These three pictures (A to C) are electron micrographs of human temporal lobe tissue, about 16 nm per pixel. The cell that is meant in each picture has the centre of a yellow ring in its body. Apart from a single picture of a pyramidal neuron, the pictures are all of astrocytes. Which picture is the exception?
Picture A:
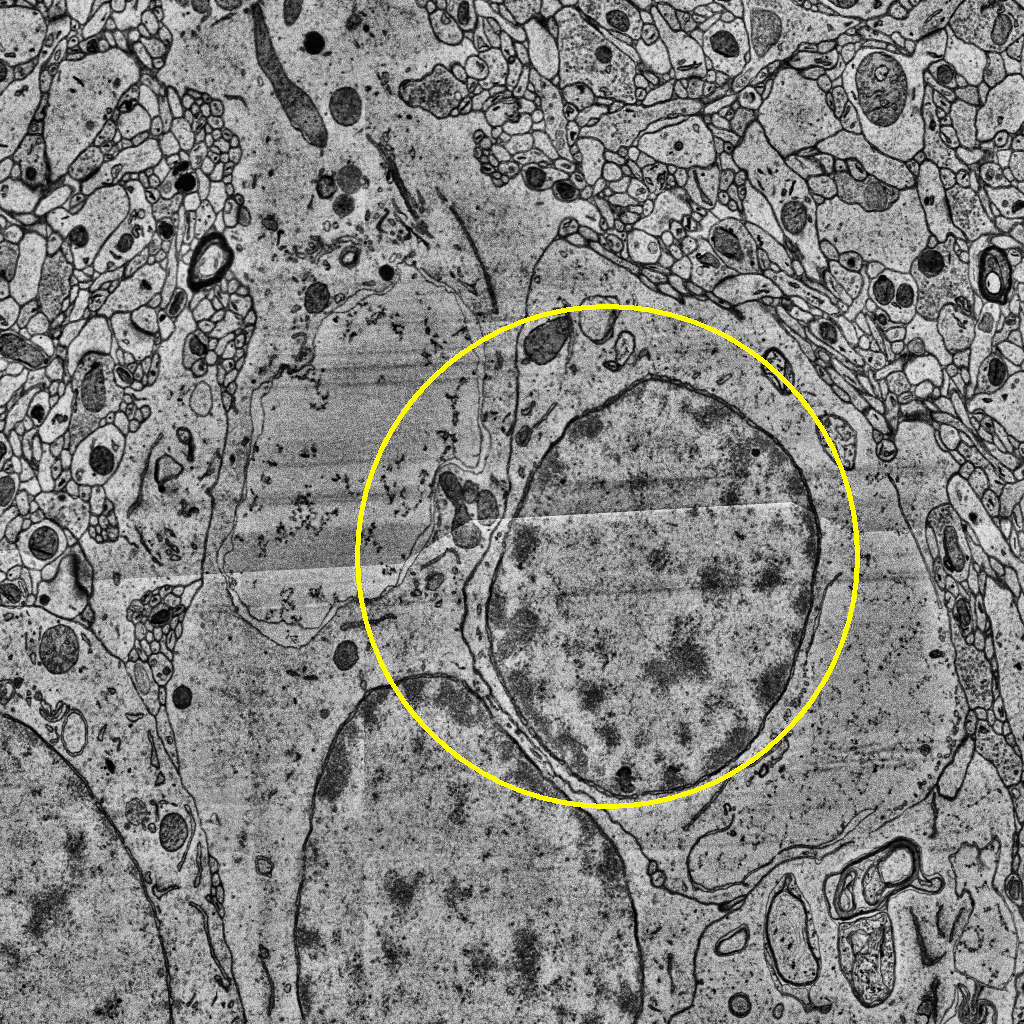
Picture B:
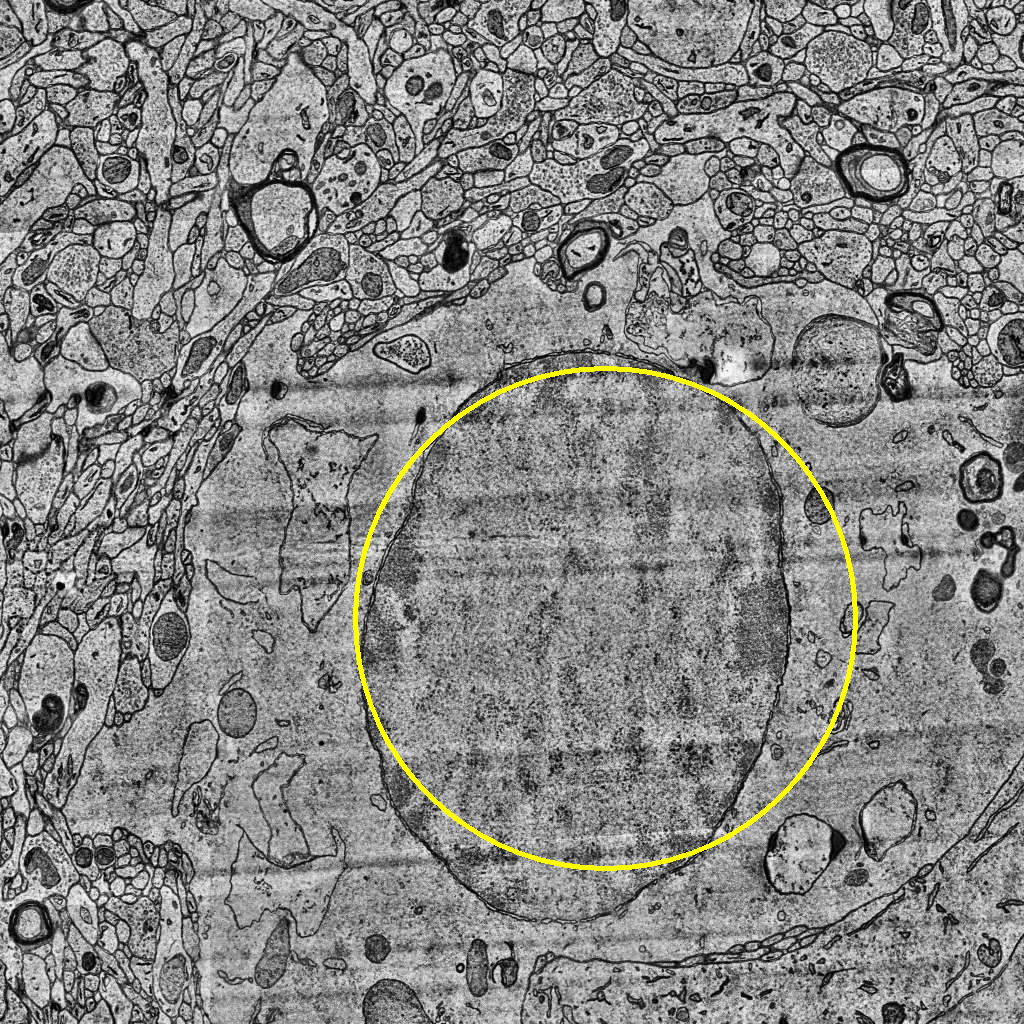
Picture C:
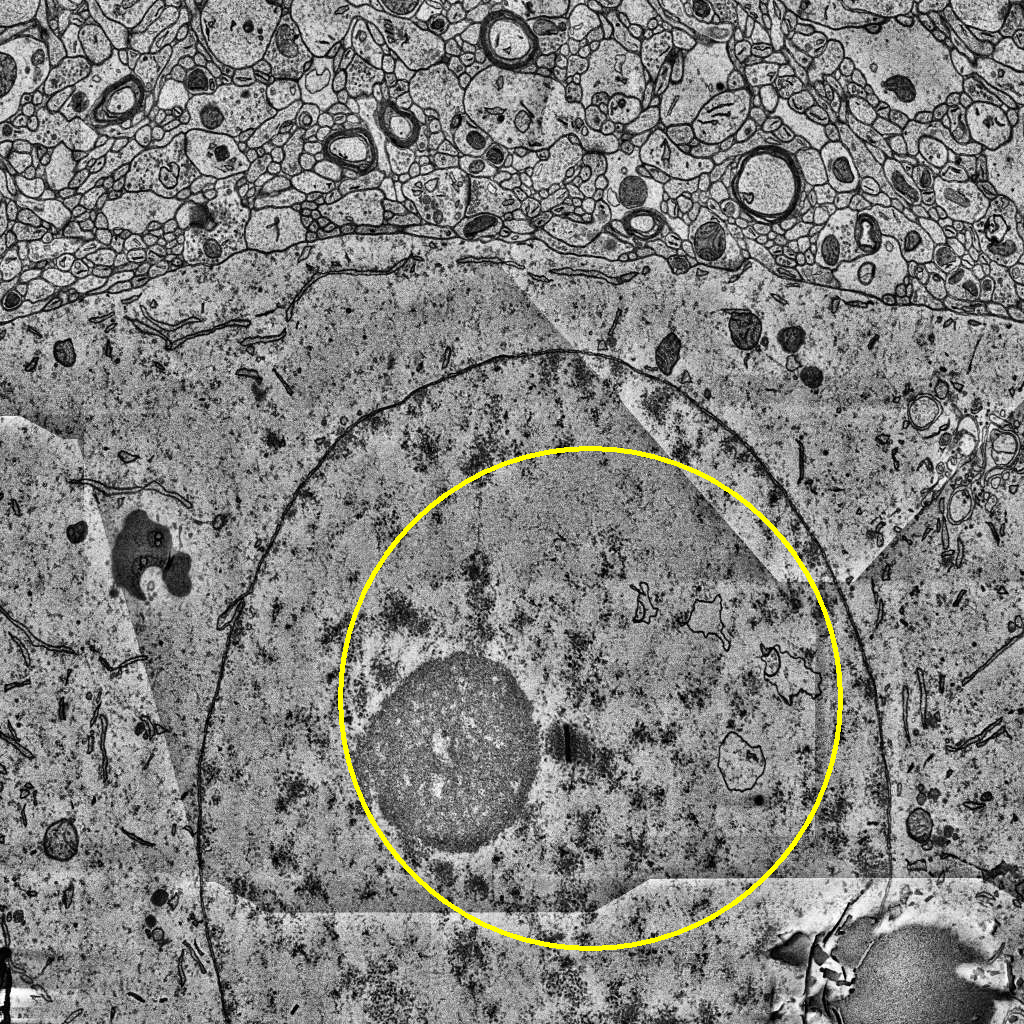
The cell in picture C is the pyramidal neuron.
